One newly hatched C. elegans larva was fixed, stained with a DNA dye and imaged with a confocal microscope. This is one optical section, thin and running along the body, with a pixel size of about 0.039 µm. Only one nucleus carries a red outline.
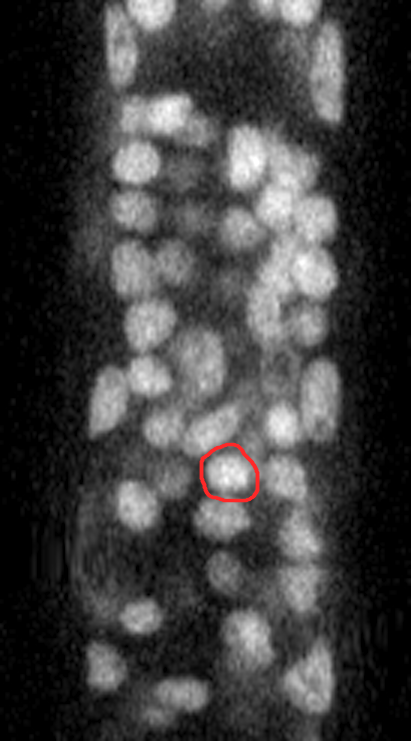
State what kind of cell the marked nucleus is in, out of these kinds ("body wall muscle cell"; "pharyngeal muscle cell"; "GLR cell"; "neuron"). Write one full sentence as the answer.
This is the nucleus of a neuron.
